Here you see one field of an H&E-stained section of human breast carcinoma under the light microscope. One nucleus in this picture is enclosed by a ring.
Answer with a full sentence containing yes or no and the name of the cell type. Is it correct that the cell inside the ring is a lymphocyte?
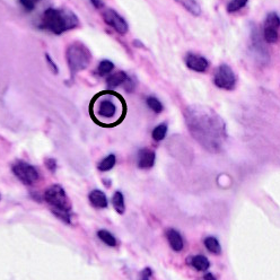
Yes, the cell type of the cell inside the ring is that of a lymphocyte.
